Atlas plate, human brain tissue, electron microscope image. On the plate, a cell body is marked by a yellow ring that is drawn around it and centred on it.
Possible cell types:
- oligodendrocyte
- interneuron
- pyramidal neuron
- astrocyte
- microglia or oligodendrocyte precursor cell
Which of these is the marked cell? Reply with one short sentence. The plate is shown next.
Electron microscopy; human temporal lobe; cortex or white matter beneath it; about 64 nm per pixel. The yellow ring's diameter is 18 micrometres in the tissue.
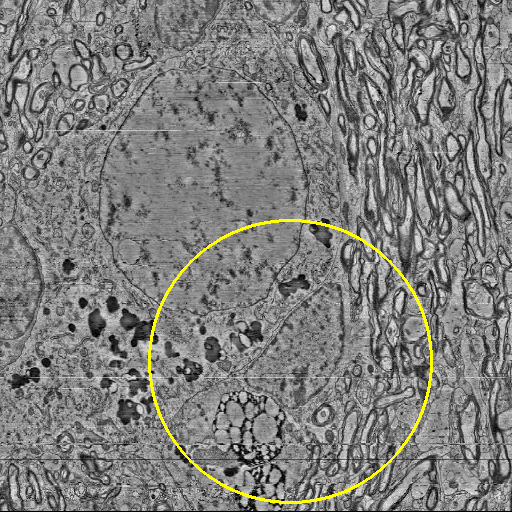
The marked cell is an astrocyte.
